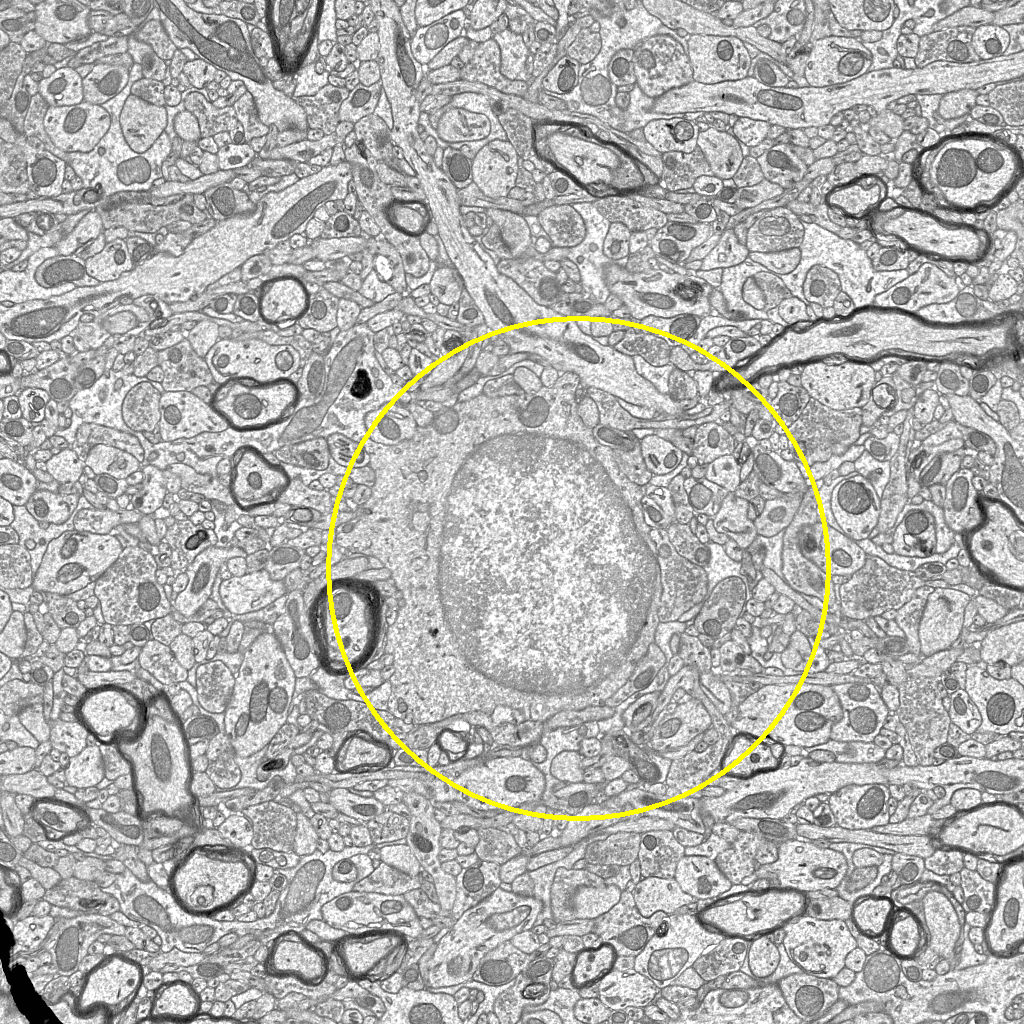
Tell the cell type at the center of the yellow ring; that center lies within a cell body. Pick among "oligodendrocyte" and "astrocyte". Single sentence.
The ring's center lies in the body of an oligodendrocyte.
